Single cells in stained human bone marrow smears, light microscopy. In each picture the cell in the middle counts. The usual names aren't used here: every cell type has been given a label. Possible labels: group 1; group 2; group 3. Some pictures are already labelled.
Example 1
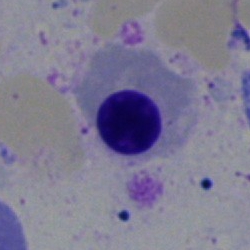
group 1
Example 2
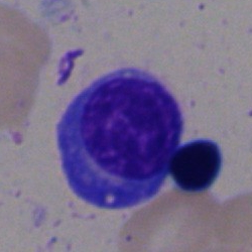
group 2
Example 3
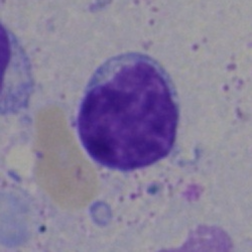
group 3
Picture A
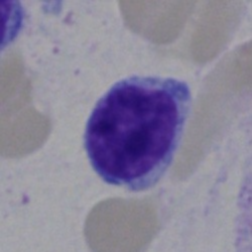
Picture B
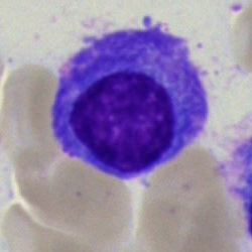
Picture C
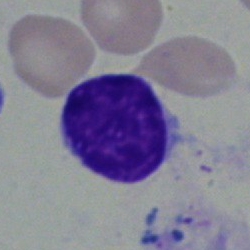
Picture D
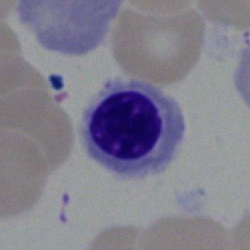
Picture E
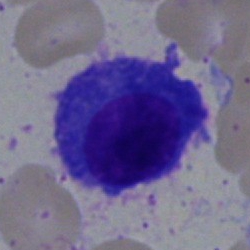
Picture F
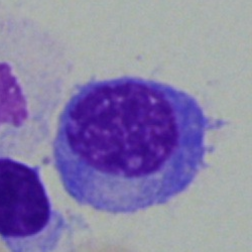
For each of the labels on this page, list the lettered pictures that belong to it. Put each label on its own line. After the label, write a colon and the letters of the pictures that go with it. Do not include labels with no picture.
group 1: D
group 2: B, E, F
group 3: A, C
